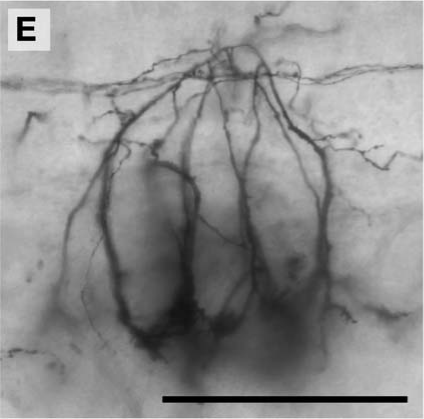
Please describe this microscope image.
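The fibers descend from a horizontal bundle running across the top and curve down around each cell body, outlining it in loops. The enclosed cell bodies appear only as pale oval spaces inside these wrappings. Several baskets sit side by side in a row, as the large neurons they surround do in their layer.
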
